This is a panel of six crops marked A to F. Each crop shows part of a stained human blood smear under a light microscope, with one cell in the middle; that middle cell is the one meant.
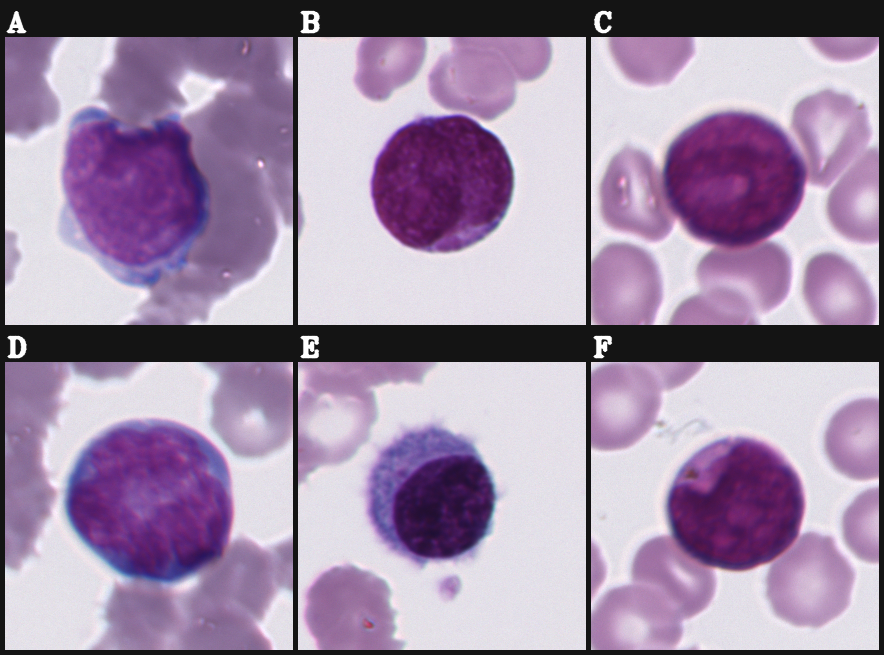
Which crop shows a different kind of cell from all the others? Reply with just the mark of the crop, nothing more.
E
